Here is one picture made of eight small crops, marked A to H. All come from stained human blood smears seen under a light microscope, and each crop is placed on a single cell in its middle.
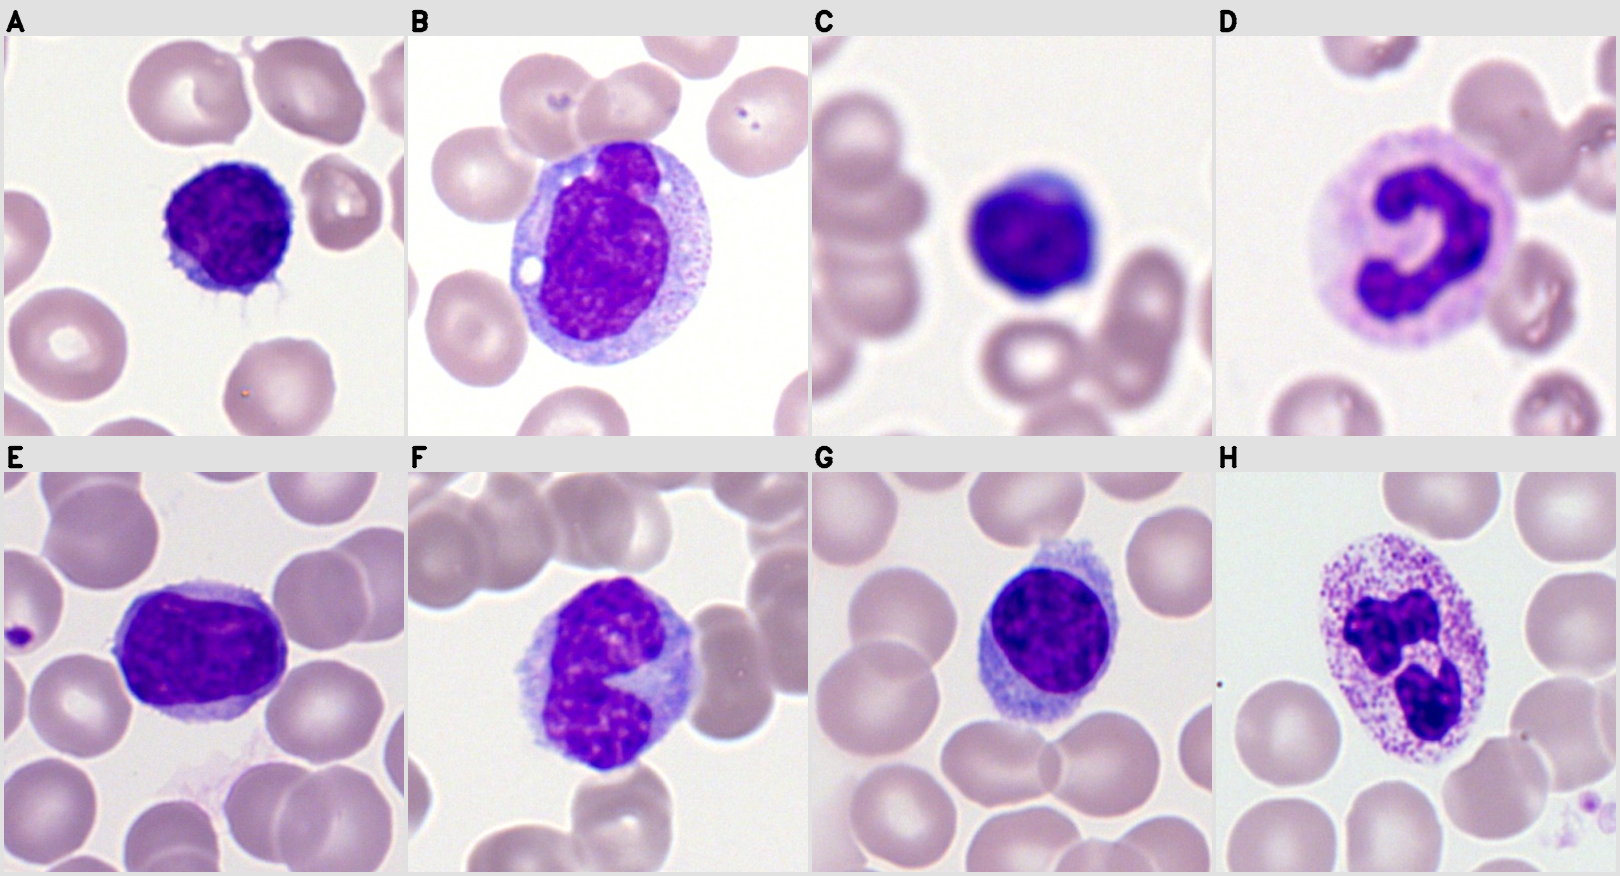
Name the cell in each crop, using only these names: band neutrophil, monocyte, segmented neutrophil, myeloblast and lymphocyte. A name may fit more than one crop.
A: lymphocyte
B: monocyte
C: lymphocyte
D: band neutrophil
E: lymphocyte
F: monocyte
G: lymphocyte
H: segmented neutrophil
